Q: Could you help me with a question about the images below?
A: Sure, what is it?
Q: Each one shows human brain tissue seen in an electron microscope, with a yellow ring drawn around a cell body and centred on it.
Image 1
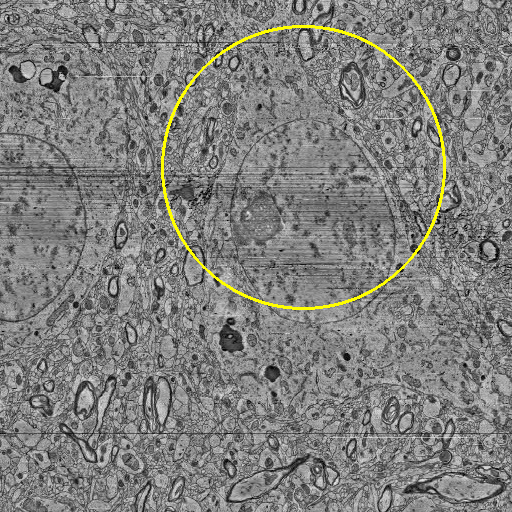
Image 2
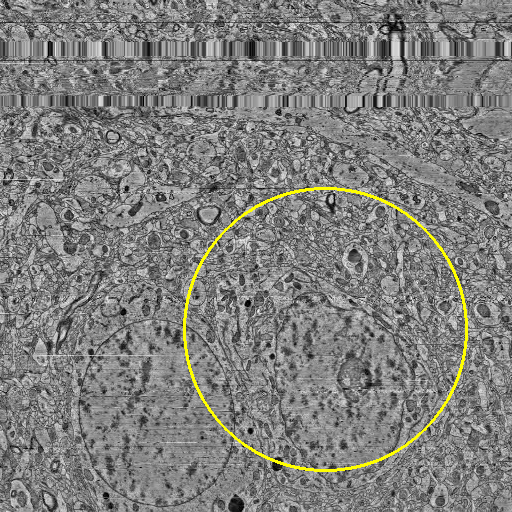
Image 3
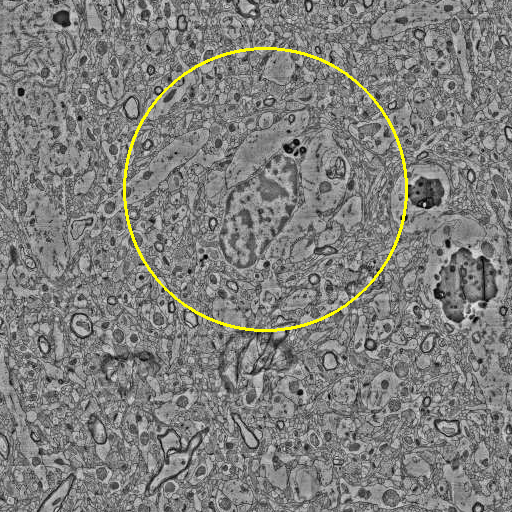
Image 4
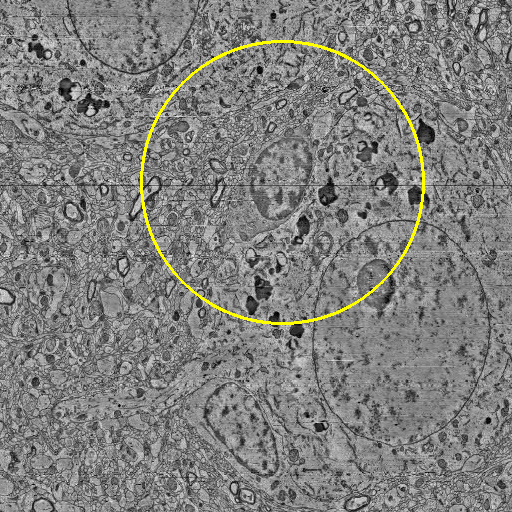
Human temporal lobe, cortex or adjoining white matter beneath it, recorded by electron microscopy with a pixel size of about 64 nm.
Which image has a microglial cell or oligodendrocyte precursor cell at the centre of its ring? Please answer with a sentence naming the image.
Image 3 has it at the centre of its ring.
